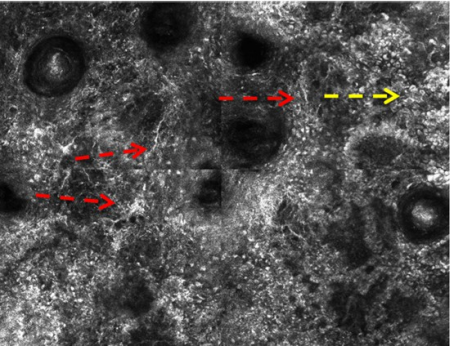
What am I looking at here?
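The papillae lack a clear bright rim of cells around their edges. Between them lie bright cells with thin, branching processes, dendritic cells, grouped mainly in the left half. Elsewhere small roundish bright cells are scattered singly across the field. Two round structures with concentric bright rings, one upper left and one lower right, stand apart from the papillae. Brightness is patchy, with faint seams where image tiles meet.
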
